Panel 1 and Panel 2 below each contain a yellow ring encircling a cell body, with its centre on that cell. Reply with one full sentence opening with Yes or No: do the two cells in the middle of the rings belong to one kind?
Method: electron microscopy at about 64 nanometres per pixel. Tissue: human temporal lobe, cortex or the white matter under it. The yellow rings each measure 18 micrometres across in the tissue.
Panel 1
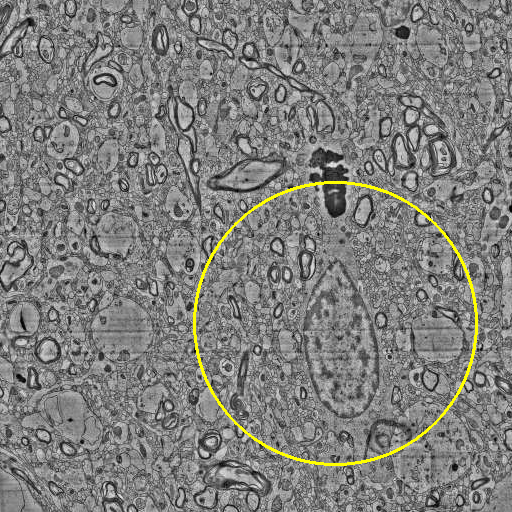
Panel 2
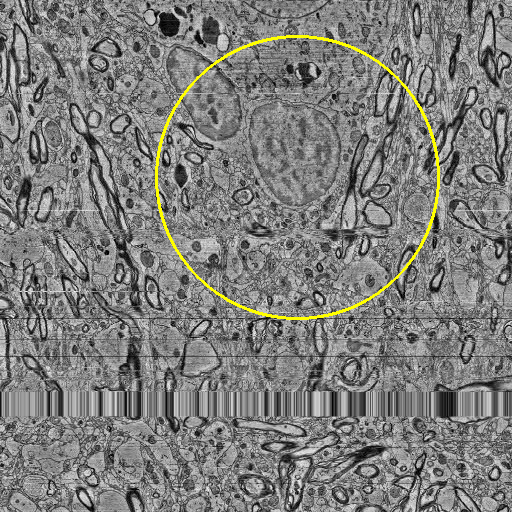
Yes, the cells at the middle of the Panel 1 ring and the Panel 2 ring are of one kind.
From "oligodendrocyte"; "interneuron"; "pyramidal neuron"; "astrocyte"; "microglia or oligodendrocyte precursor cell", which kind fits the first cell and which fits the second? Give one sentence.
Each cell, in the first picture and the second, is an oligodendrocyte.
